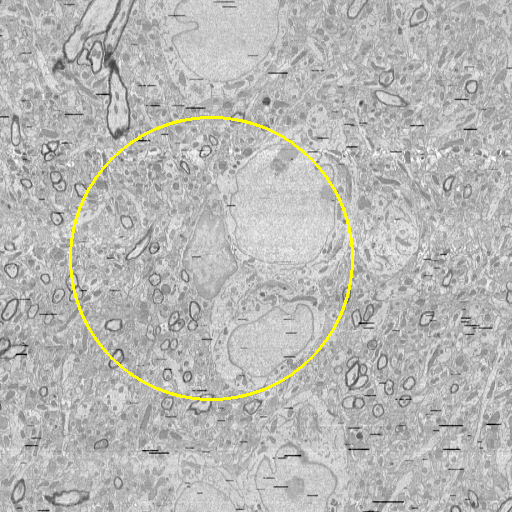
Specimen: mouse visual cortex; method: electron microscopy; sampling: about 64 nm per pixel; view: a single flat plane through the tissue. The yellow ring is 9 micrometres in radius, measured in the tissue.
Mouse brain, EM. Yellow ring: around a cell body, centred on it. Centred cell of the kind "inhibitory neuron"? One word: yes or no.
no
